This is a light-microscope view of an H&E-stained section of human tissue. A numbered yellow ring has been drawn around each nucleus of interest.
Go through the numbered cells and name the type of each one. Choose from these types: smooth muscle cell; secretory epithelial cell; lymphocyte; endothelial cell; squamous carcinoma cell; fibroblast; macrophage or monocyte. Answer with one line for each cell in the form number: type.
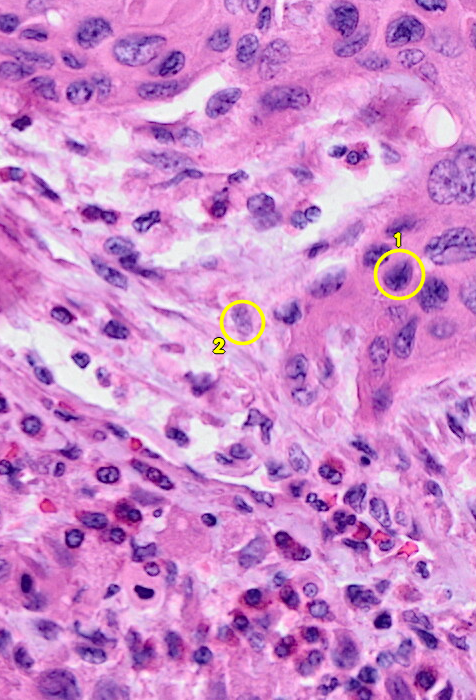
1: squamous carcinoma cell
2: fibroblast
